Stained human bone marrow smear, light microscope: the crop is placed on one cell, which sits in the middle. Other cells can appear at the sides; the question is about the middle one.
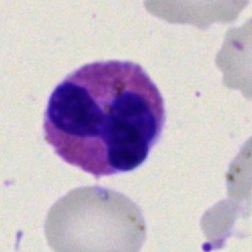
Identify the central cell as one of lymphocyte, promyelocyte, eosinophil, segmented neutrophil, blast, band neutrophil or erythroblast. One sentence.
Framed in the middle of the crop is an eosinophil.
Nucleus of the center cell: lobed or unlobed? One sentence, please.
This cell has a nucleus made up of two or more segments.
